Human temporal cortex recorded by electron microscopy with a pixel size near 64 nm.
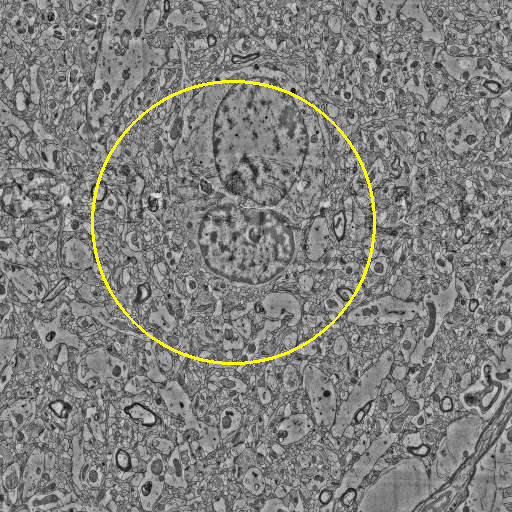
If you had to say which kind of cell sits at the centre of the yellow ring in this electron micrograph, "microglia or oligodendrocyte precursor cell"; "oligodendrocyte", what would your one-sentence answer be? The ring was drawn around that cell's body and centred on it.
The cell sitting at the centre of the ring is an oligodendrocyte.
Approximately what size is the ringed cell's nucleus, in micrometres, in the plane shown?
In this plane the nucleus measures roughly 6 by 5 micrometers.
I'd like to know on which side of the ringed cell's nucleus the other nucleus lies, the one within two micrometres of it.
The other nucleus is positioned above it.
